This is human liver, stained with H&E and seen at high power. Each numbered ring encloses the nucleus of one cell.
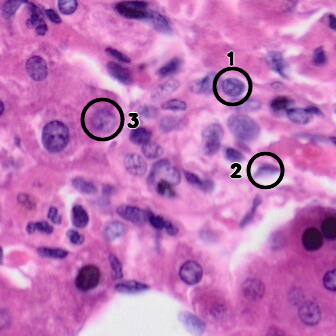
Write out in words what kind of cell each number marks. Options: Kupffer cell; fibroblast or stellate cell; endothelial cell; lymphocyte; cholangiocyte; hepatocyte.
Cell 1 is a cholangiocyte, cell 2 is a fibroblast or stellate cell and cell 3 is a cholangiocyte.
